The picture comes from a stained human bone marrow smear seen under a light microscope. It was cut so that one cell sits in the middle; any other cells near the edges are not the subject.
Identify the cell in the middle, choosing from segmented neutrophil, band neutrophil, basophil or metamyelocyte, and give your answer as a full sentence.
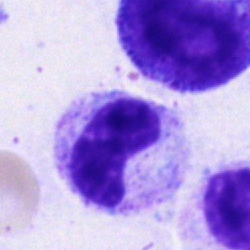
The cell nearest the centre of this crop is a band neutrophil.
